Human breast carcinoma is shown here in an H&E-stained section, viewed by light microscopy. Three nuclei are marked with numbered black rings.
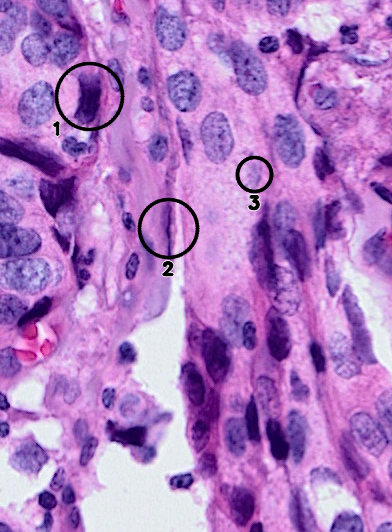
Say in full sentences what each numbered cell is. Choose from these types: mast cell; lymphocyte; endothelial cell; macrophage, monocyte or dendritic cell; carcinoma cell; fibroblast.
Cells 1 and 3 are carcinoma cells. Cell 2 is a fibroblast.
